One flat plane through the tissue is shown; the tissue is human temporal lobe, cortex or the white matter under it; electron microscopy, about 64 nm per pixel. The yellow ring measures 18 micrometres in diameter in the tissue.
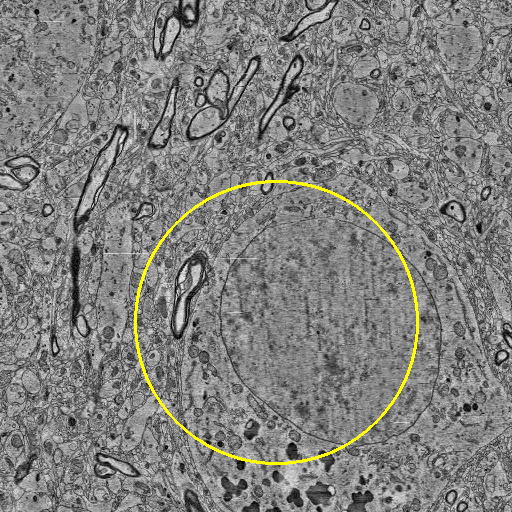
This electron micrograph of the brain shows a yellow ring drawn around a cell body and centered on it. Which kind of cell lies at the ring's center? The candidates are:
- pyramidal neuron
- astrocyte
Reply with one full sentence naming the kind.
The cell lying at the ring's center in this micrograph is a pyramidal neuron.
